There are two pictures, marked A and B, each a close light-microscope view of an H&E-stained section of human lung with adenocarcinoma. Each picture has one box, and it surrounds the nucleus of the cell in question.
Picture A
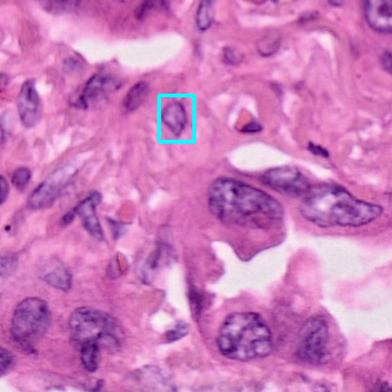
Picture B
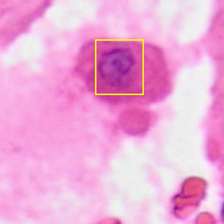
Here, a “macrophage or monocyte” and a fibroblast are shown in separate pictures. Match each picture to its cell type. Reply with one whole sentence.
In picture A the cell is a fibroblast; in picture B, a “macrophage or monocyte”.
